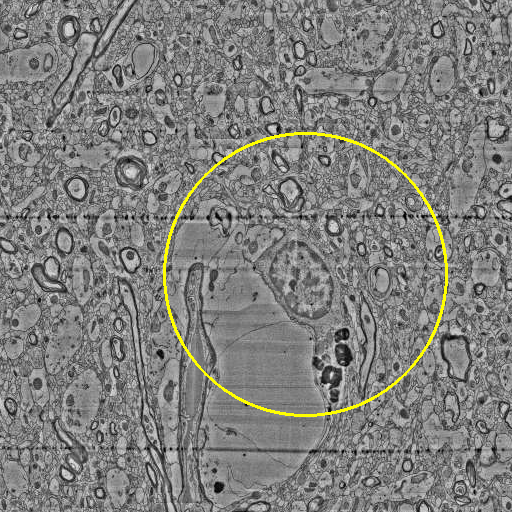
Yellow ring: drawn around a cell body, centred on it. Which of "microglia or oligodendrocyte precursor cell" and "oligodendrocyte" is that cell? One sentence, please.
That cell body is from an oligodendrocyte.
